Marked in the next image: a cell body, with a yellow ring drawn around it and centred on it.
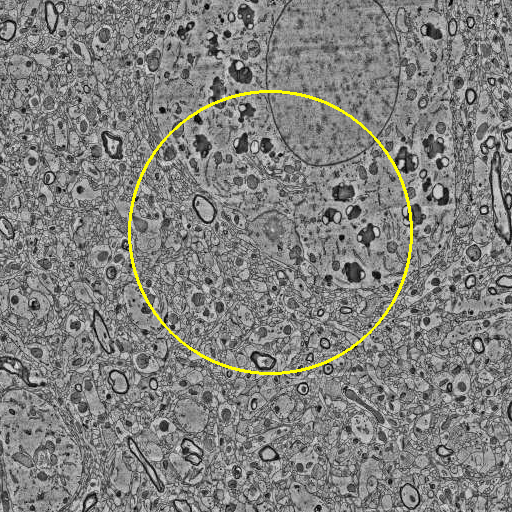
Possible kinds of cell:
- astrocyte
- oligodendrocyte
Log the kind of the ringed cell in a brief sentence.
The ringed cell body is that of an oligodendrocyte.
